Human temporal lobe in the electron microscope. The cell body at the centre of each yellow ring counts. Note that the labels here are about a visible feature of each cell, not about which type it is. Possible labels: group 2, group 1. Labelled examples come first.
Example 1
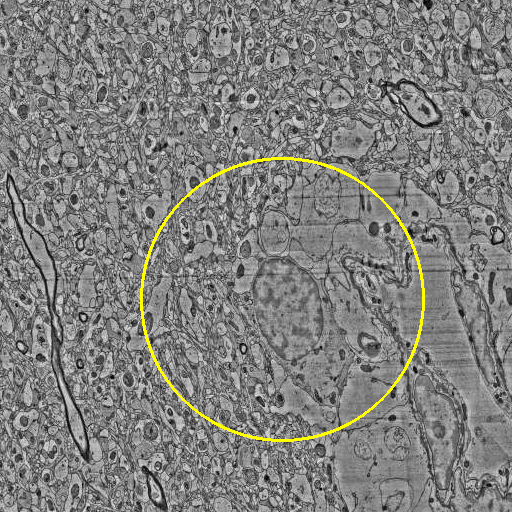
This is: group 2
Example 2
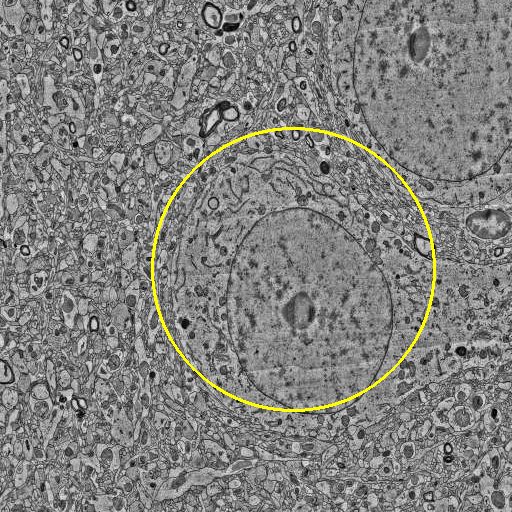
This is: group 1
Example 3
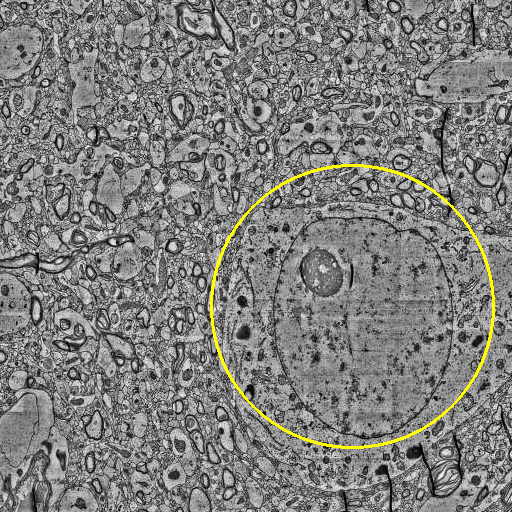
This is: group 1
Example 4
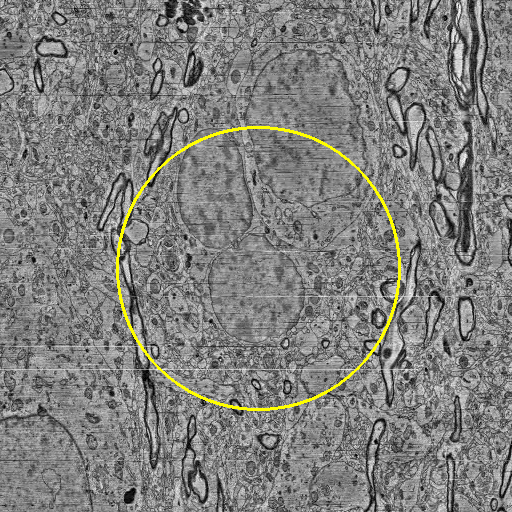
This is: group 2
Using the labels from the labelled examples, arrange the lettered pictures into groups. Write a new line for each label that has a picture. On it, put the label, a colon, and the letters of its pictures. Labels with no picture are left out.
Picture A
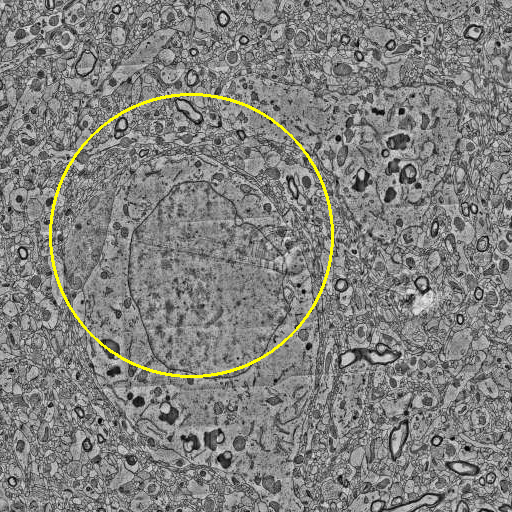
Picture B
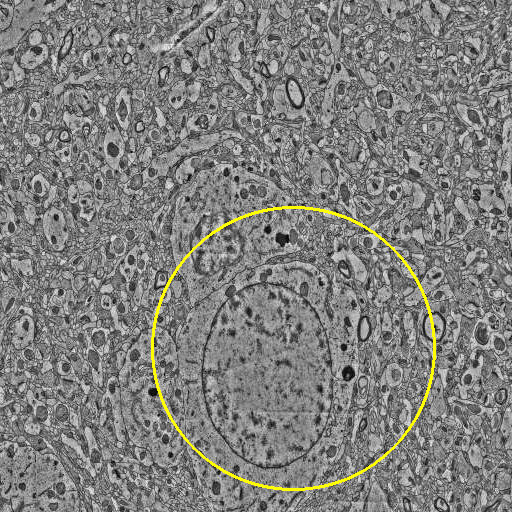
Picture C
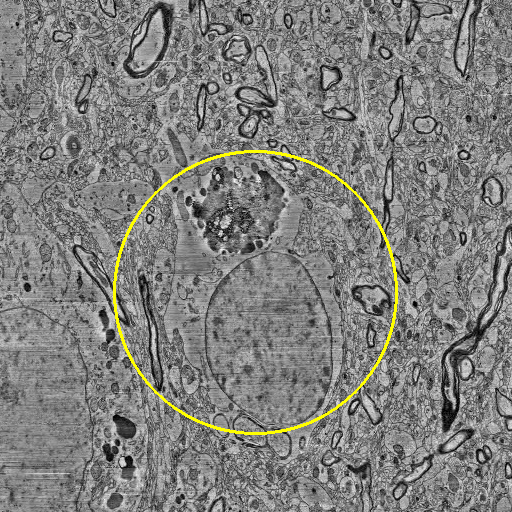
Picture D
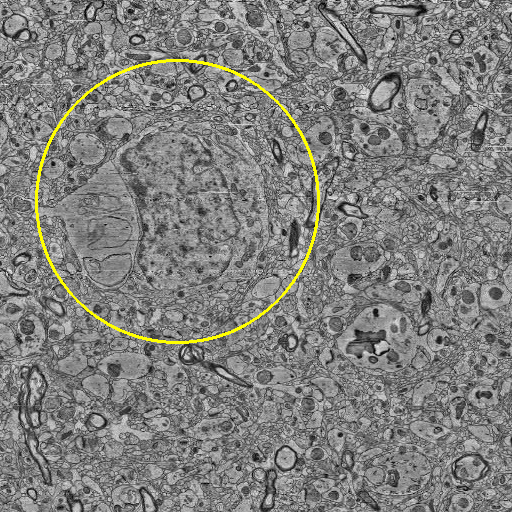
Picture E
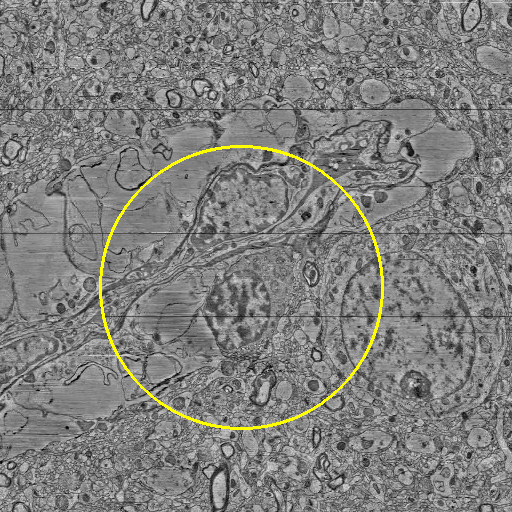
group 2: A, B, C, D, E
